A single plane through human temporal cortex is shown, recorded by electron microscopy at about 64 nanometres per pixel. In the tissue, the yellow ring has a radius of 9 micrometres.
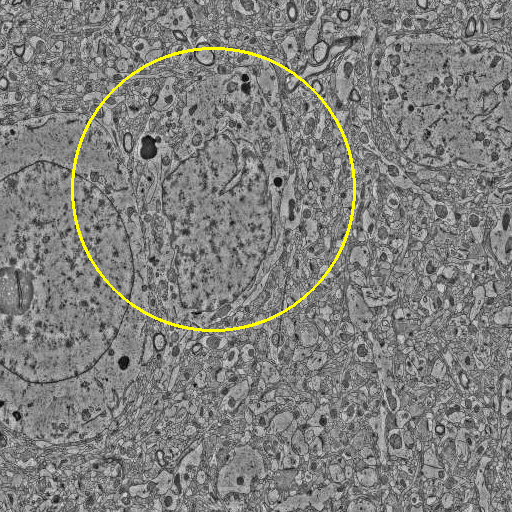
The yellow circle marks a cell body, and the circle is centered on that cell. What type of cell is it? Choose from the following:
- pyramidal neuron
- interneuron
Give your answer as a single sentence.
This cell body belongs to an interneuron.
